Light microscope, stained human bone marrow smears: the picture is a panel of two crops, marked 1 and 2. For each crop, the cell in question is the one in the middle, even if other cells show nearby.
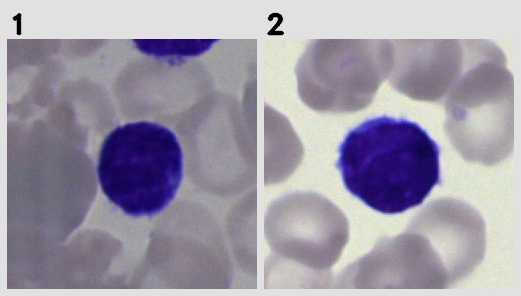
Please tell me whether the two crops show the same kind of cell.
yes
